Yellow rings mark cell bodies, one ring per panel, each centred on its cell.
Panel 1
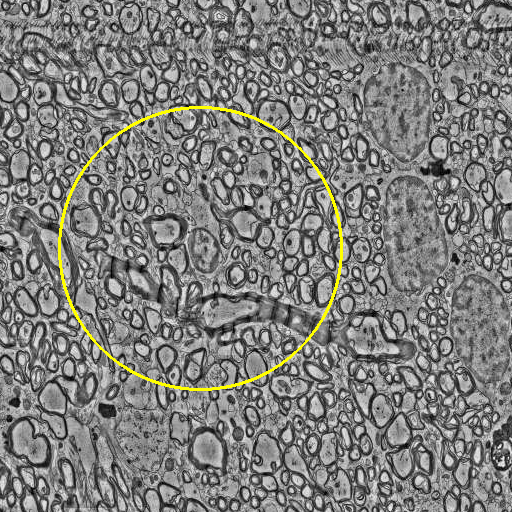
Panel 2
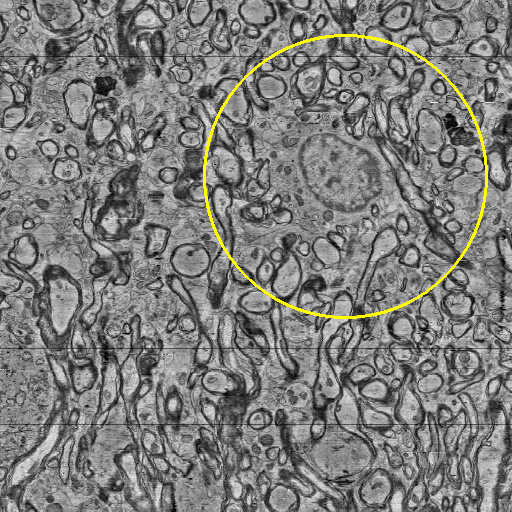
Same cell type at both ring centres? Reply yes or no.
no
